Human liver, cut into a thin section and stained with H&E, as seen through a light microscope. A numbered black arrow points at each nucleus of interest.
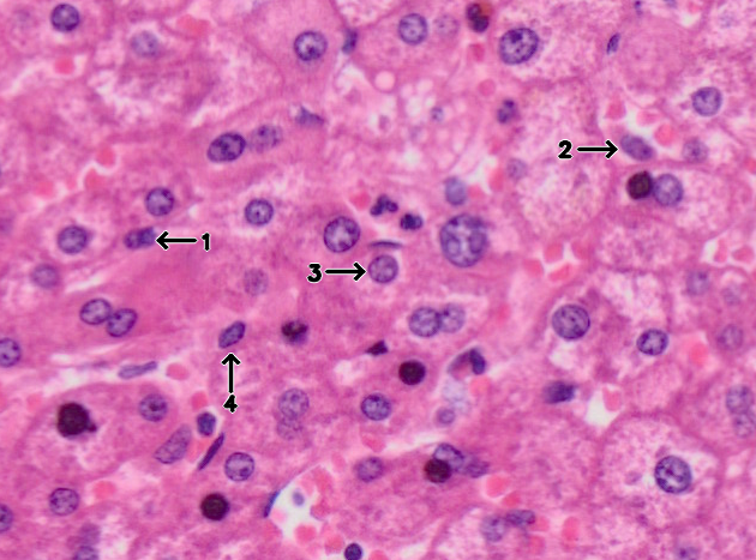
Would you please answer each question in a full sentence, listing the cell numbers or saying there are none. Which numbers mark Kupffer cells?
It is cell 2, and no other numbered cell, that is a Kupffer cell.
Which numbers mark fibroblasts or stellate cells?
The cells tagged 1 and 4 are fibroblasts or stellate cells in this tissue section.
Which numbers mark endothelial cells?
Not one numbered cell here is one of the endothelial cells.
